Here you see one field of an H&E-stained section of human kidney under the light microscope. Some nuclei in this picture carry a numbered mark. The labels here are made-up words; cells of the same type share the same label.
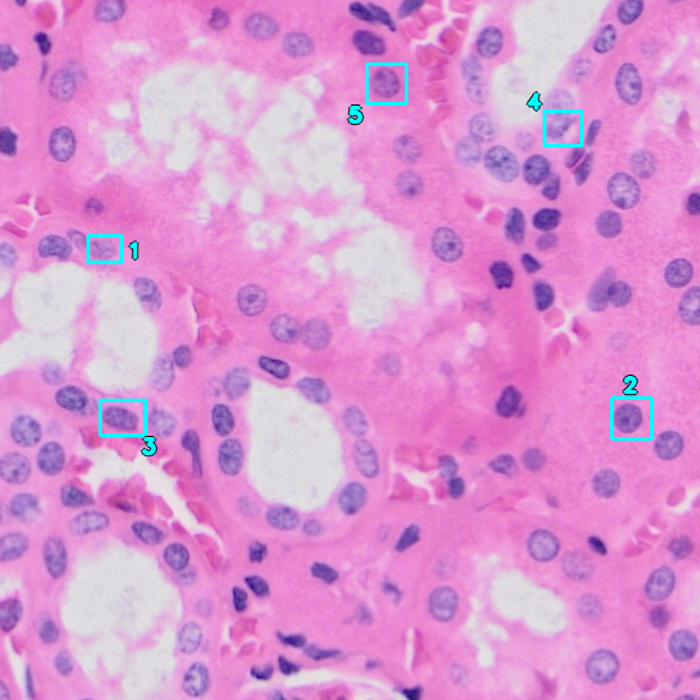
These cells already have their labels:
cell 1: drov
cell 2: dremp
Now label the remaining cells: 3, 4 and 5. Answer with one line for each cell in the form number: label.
3: drov
4: drov
5: dremp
